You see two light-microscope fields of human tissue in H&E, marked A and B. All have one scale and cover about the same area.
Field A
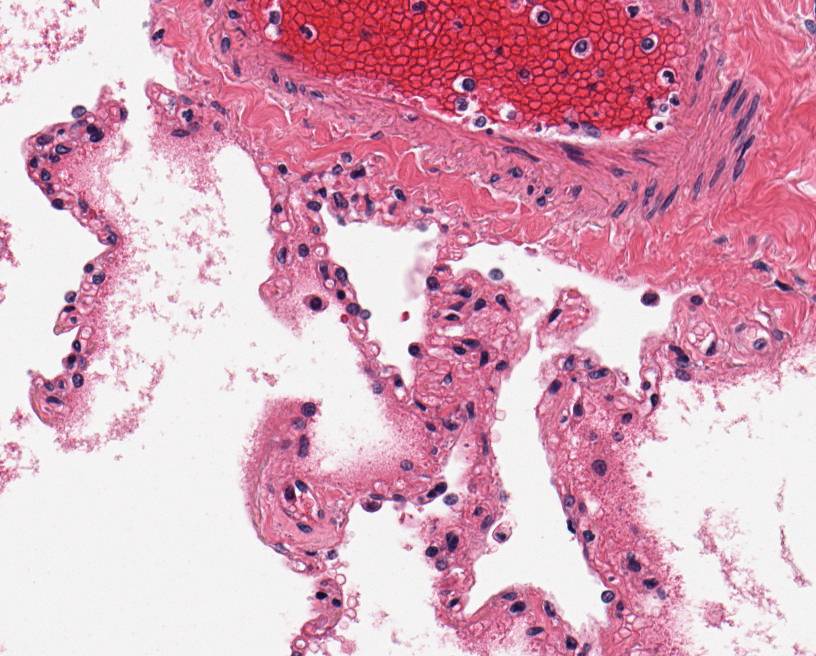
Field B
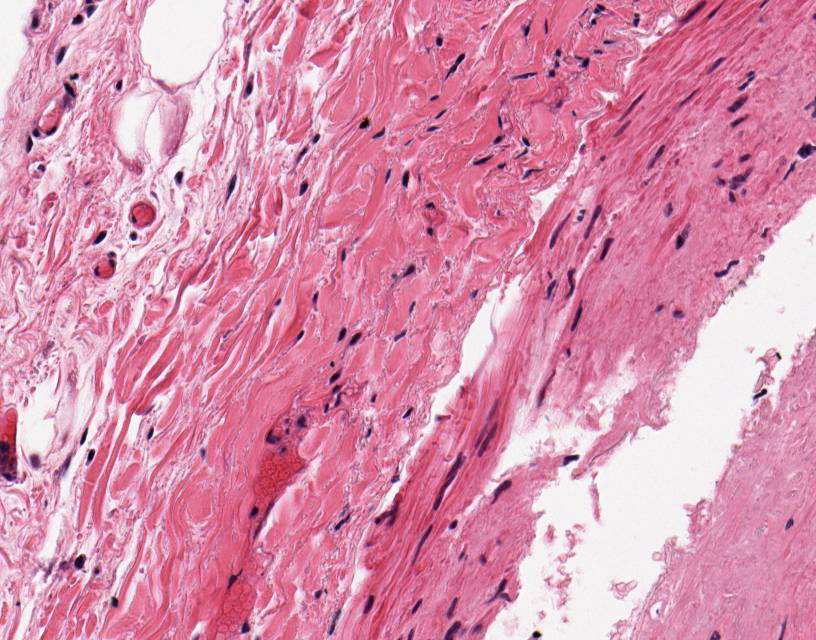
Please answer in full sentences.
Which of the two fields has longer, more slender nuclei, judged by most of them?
Longer, more slender nuclei lie in field B.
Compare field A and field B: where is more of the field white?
It is field A in which white space covers the larger part.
